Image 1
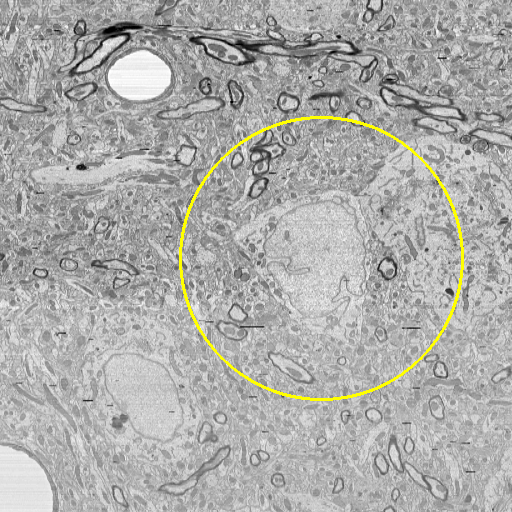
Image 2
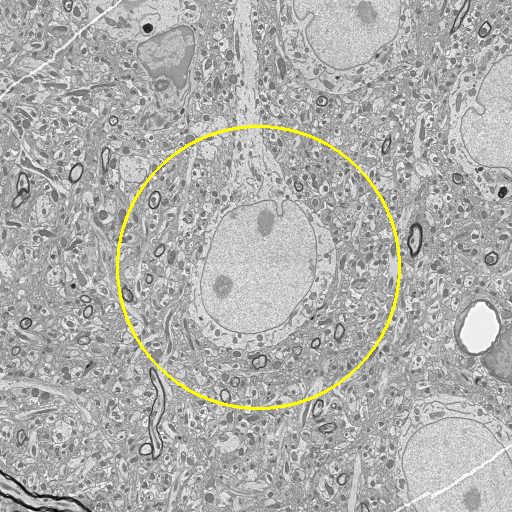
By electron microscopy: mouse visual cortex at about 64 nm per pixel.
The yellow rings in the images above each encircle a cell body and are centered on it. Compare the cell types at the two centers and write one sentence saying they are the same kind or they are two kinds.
Taken together, the two cells at the ring centers are two kinds.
